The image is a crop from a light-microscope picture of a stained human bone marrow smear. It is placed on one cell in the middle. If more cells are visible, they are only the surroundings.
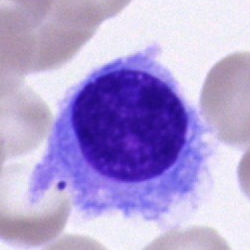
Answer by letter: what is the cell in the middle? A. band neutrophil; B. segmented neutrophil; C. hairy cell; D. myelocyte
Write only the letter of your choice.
C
